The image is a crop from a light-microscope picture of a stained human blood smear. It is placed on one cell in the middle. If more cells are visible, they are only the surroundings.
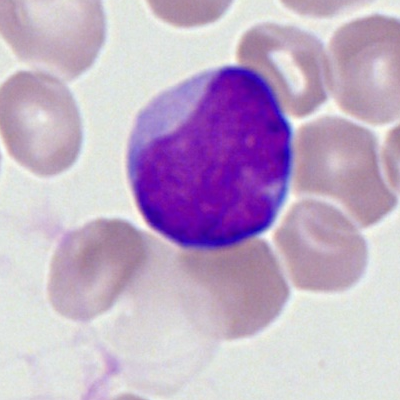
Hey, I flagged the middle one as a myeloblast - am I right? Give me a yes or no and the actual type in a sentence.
Yes, the middle cell is classified as a myeloblast.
